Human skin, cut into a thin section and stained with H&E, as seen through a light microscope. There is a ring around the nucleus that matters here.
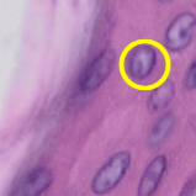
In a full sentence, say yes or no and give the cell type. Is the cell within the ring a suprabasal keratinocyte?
Yes, it is a suprabasal keratinocyte that the cell within the ring represents in this section.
